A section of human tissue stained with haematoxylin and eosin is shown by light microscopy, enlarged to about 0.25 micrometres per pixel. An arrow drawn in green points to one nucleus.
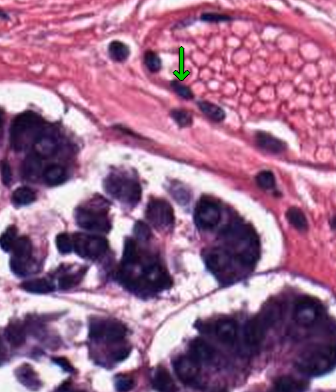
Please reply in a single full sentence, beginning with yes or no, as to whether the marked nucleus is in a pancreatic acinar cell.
No, a supporting cell is the one to which the marked nucleus belongs, not a pancreatic acinar cell.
